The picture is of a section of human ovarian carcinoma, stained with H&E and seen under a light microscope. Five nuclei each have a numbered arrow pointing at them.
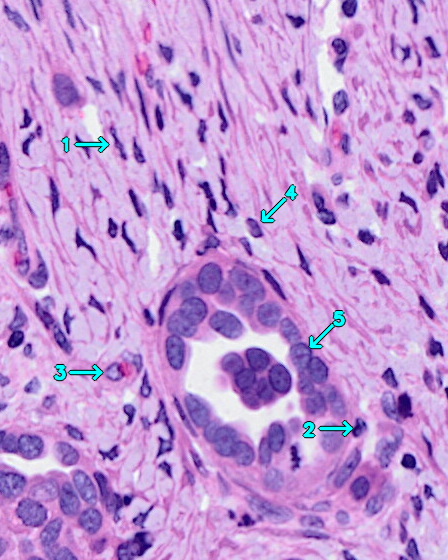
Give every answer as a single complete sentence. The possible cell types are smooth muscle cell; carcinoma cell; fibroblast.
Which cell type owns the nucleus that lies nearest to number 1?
Number 1 lies closest to the nucleus of a fibroblast.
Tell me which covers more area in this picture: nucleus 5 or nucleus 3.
At about 1.5 times the area of nucleus 3, nucleus 5 is the larger of the two.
